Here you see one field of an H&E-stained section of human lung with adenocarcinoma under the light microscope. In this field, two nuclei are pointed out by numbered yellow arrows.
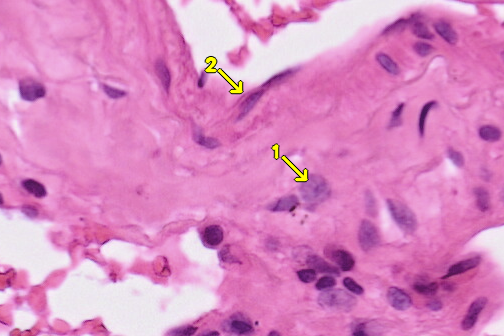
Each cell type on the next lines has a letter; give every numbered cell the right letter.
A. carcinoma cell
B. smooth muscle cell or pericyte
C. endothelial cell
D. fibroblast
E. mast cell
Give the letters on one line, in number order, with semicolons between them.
D; B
